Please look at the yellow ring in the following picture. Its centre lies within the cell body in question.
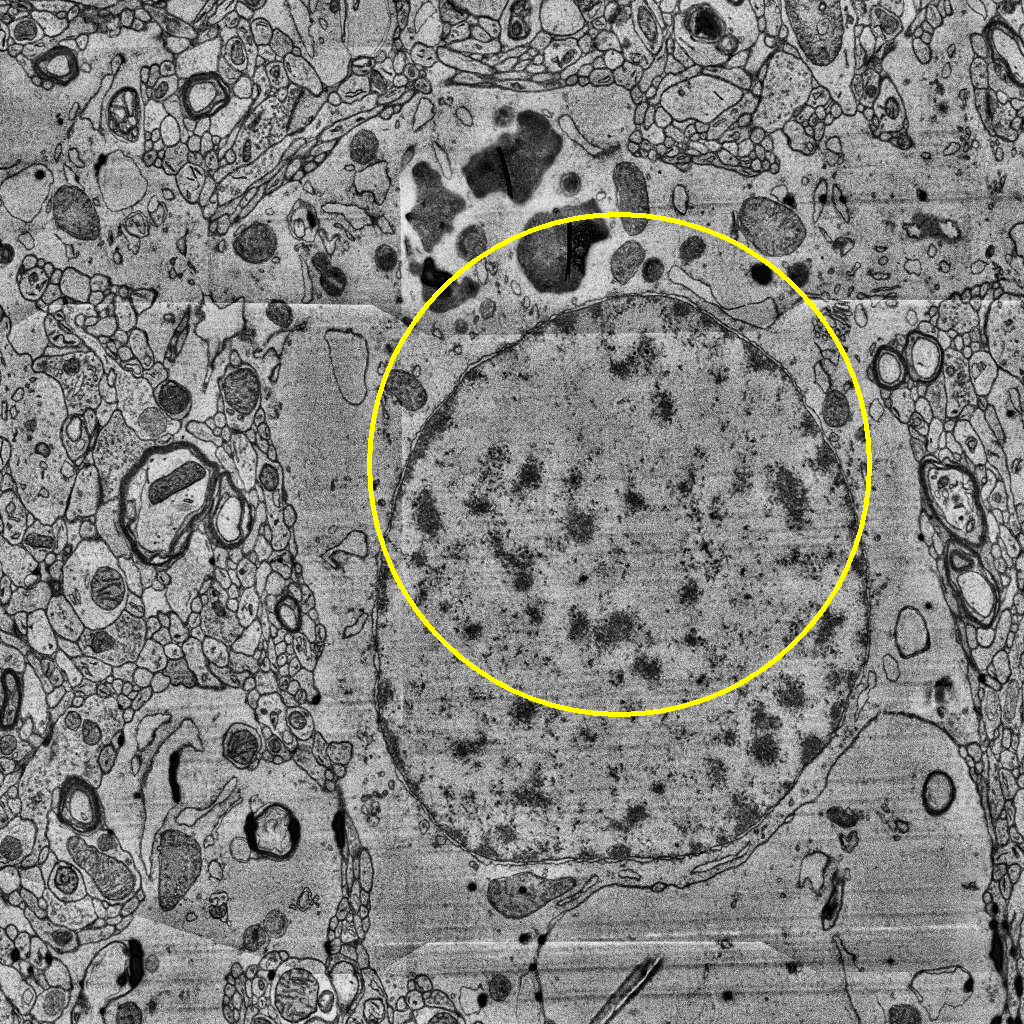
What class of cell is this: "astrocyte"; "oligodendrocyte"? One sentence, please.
The centre of the ring lies in the cell body of an astrocyte.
